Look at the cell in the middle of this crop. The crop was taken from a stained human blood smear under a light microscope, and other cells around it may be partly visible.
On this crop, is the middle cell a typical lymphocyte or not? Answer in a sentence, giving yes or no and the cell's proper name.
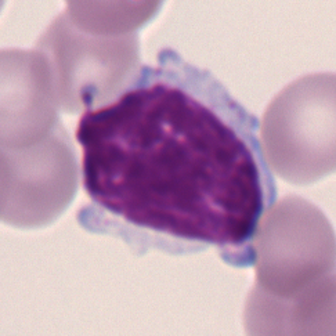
No, the cell sitting in the centre of the crop is a large granular lymphocyte, not a typical lymphocyte.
